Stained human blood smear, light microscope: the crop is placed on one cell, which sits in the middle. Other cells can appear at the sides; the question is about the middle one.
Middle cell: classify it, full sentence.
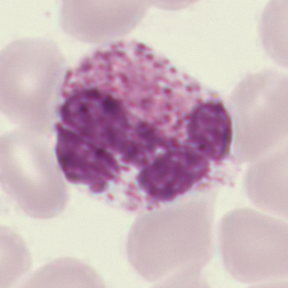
The middle cell in this particular crop is an eosinophil.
